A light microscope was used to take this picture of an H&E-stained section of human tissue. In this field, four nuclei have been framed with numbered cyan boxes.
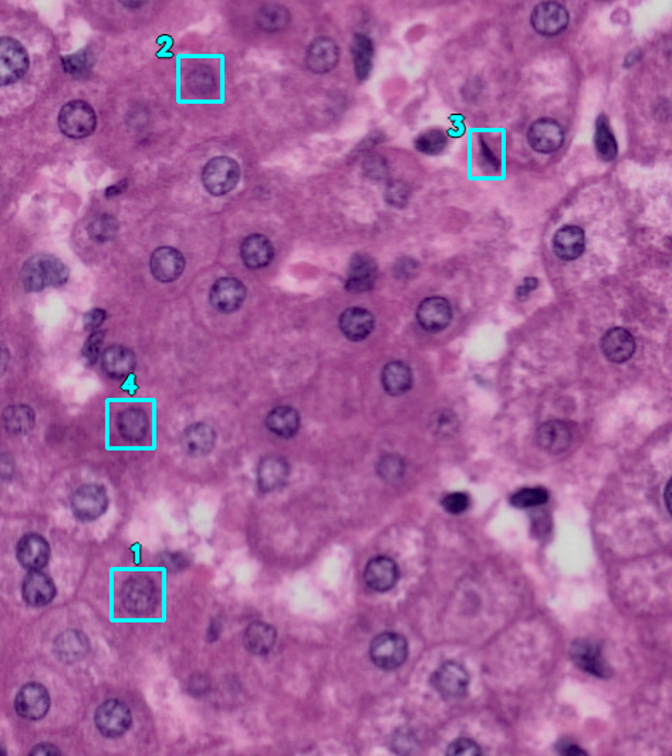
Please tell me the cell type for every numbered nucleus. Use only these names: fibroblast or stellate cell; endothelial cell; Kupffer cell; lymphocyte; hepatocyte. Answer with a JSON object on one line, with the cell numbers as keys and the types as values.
{"1": "hepatocyte", "2": "hepatocyte", "3": "endothelial cell", "4": "hepatocyte"}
